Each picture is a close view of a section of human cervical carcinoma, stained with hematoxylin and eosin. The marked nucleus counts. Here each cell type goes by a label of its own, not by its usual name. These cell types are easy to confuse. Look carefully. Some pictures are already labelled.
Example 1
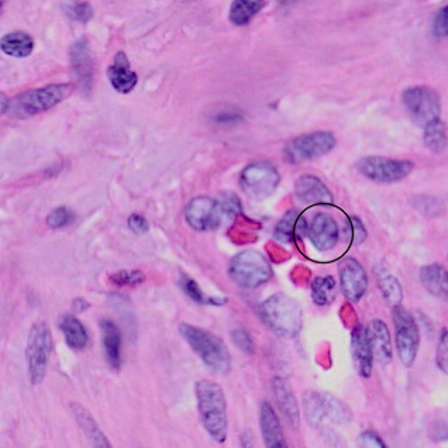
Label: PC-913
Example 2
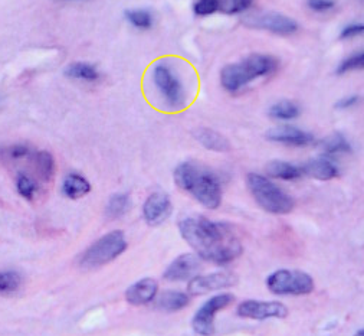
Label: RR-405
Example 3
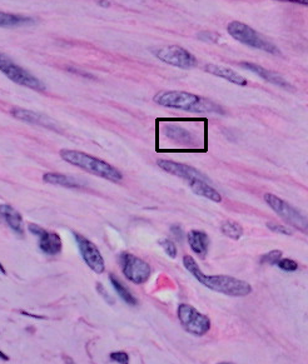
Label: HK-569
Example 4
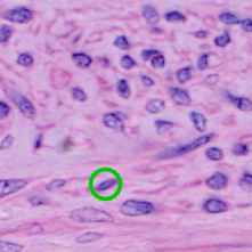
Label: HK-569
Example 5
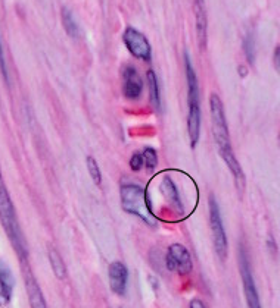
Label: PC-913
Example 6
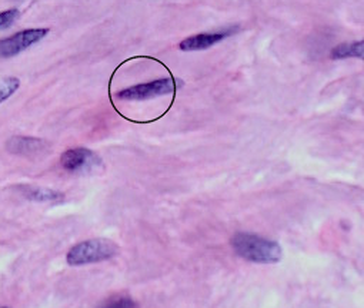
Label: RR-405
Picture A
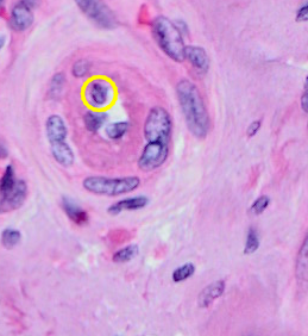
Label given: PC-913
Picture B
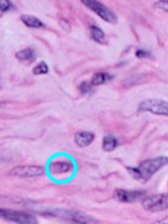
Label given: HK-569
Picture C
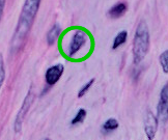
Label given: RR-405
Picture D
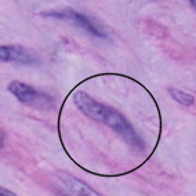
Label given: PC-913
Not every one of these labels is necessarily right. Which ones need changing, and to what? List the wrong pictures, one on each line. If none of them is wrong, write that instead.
D is labelled PC-913; correct label: HK-569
